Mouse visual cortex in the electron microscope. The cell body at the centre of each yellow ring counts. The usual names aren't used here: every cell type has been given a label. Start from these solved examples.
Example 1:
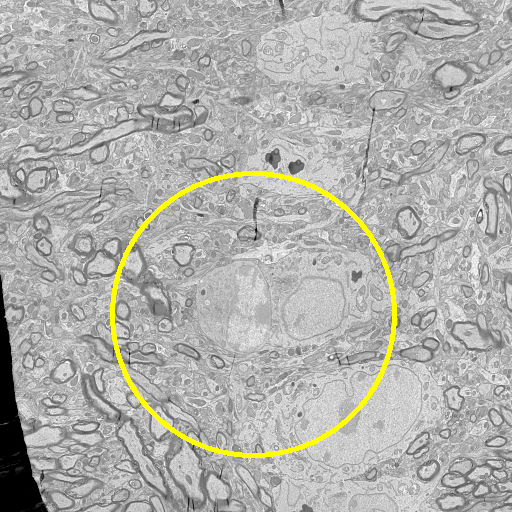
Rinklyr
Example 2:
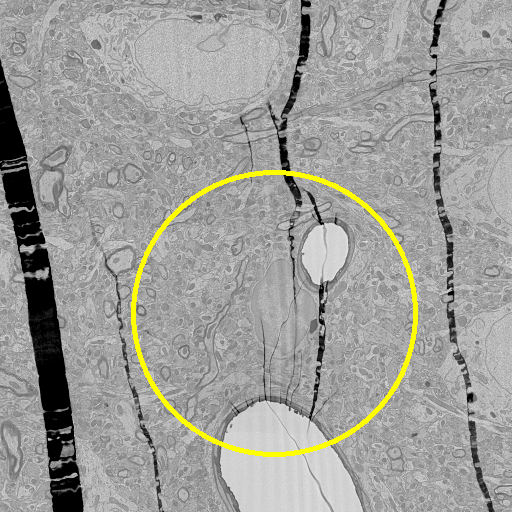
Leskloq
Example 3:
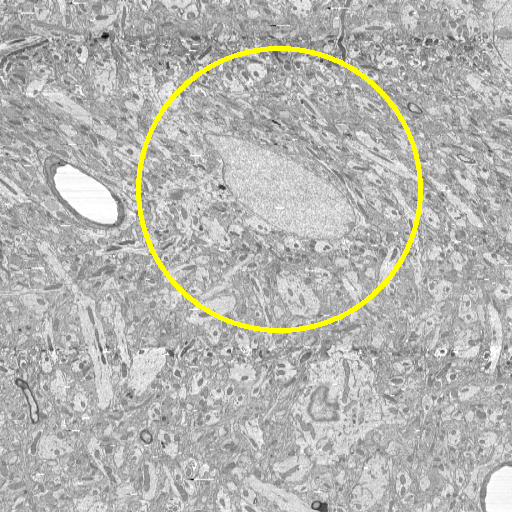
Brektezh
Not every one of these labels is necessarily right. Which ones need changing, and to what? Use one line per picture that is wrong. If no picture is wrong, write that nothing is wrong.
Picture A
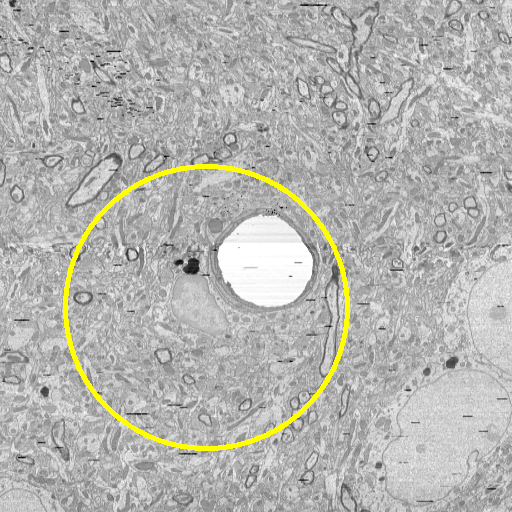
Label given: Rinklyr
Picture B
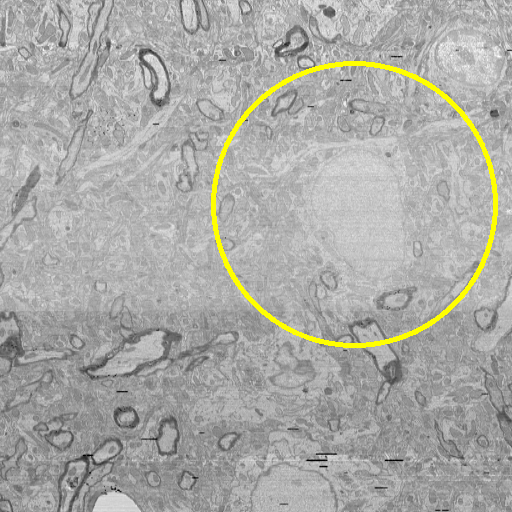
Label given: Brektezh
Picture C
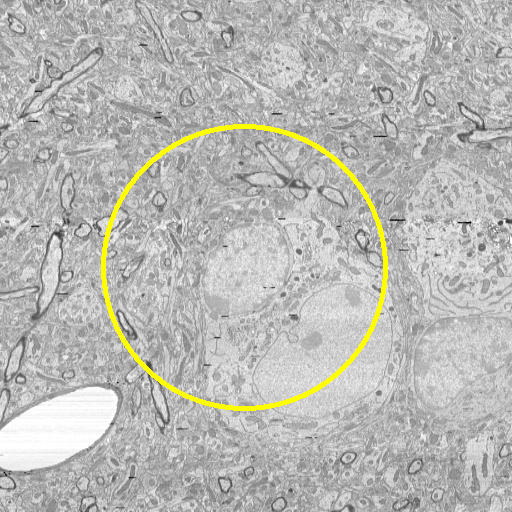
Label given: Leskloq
A should be Leskloq, not Rinklyr
C should be Rinklyr, not Leskloq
